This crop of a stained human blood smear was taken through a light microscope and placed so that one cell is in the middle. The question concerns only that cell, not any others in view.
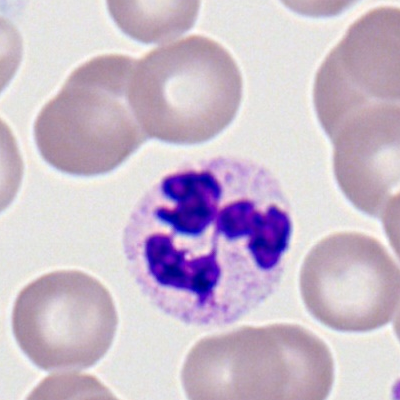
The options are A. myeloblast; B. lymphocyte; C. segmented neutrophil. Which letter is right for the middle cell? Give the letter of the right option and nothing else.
C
